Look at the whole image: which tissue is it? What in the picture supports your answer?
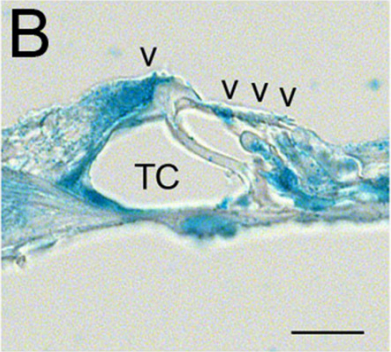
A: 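A triangular fluid space bounded by slender arching cell pillars lies on a thin basal membrane. Cells sit in a row on the upper surface of the epithelium.
Organ of Corti.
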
